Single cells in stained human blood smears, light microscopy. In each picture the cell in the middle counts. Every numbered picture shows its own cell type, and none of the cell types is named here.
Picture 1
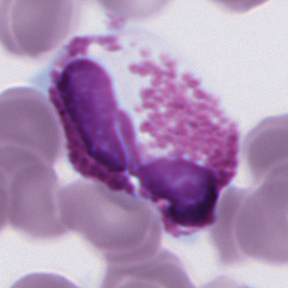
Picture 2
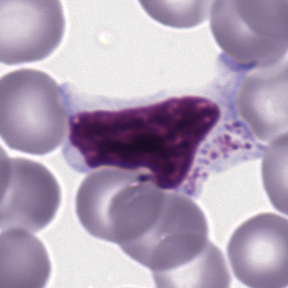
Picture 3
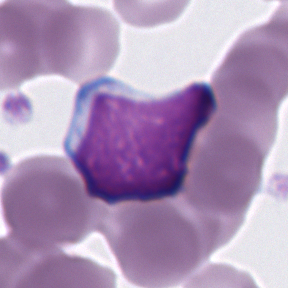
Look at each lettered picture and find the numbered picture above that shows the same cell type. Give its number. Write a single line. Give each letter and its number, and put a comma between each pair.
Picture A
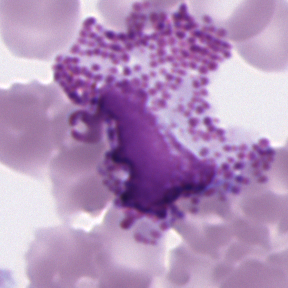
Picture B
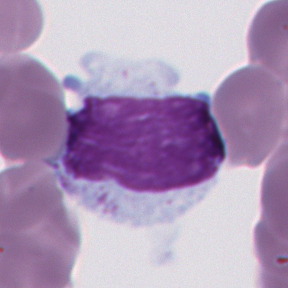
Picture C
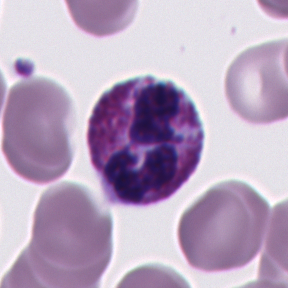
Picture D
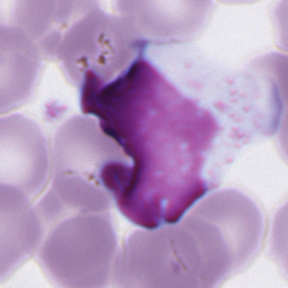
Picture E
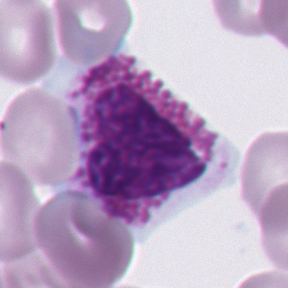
A 1, B 2, C 1, D 2, E 1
